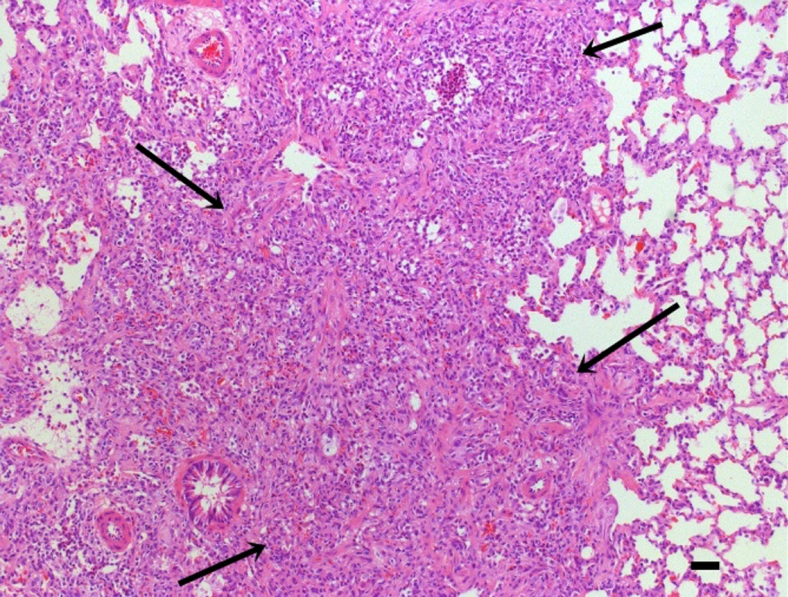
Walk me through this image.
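Lung parenchyma in which a large area is consolidated by a dense infiltrate of inflammatory cells mixed with fibrosis. Within it, the alveolar air spaces are largely lost. The infiltrate is crowded with small, dark purple nuclei. Pale pink, wavy bundles with spindle-shaped nuclei run through it. Toward the right edge, the lesion gives way abruptly to open, thin-walled alveoli that look close to normal.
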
